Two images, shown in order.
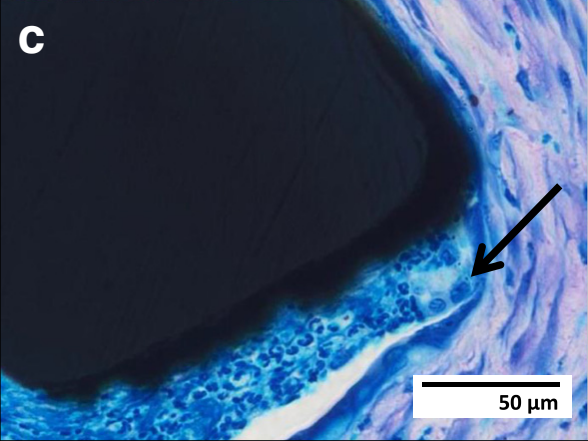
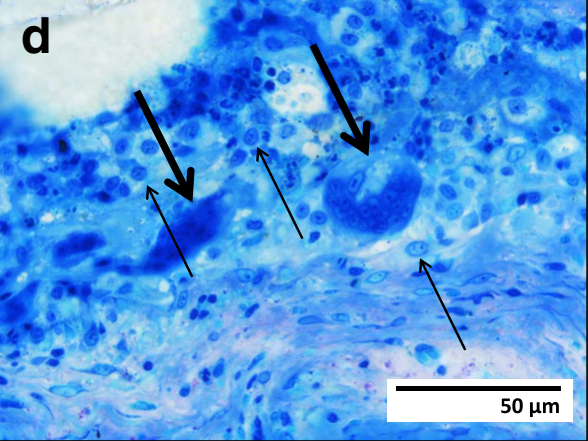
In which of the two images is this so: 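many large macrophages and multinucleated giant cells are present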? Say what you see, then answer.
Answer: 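Second image: numerous large pale cells and very large multinucleated cells are present. First image: only a thin band of cells lines the black structure, with no multinucleated giant cells. That points to this answer: the second image.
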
